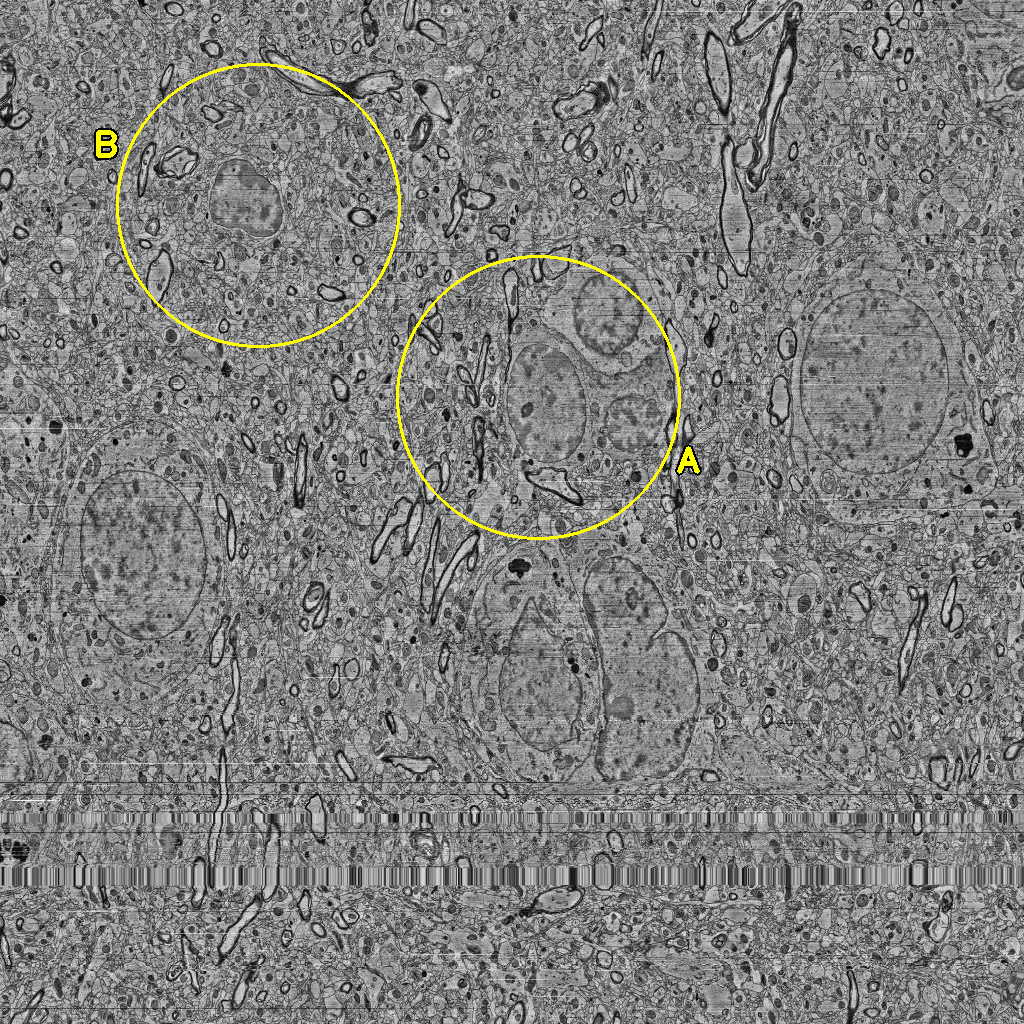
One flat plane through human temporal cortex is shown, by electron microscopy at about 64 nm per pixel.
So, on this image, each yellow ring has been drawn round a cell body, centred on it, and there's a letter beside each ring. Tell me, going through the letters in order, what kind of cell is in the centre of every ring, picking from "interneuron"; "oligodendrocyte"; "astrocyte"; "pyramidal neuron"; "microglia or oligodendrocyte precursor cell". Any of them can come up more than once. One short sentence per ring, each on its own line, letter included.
Ring A has been drawn round an oligodendrocyte.
Ring B has been drawn round a microglial cell or oligodendrocyte precursor cell.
